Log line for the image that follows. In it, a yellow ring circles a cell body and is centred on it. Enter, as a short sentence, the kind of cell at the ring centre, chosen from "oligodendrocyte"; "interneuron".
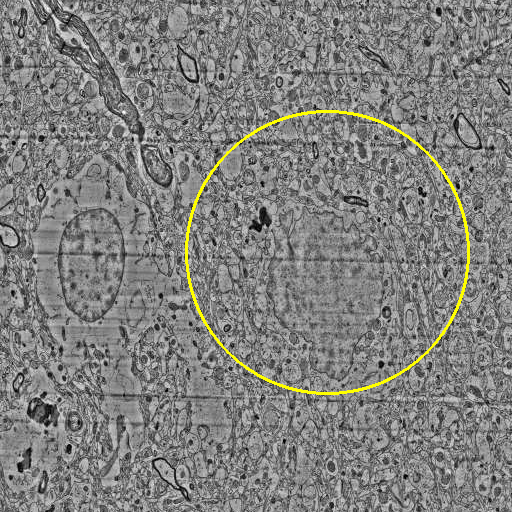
The ring centre is occupied by an interneuron.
